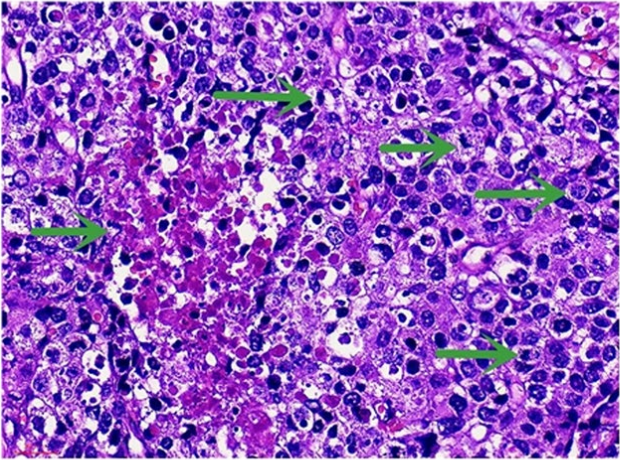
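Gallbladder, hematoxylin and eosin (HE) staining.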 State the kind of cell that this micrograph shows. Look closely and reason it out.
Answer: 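Pleomorphic large cells. Large cells with nuclei that vary in size and shape. Nuclei are round to oval and darkly stained, some with visible nucleoli. Cells have ample pink cytoplasm.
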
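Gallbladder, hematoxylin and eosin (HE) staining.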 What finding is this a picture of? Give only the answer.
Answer: Patchy necrosis.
